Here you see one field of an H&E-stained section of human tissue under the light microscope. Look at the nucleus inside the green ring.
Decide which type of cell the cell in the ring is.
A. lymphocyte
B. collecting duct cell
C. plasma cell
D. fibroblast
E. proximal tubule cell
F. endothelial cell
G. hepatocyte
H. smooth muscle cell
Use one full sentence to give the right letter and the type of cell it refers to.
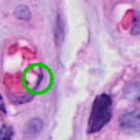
Under option F, the cell in the ring is an endothelial cell, which is the correct identification.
